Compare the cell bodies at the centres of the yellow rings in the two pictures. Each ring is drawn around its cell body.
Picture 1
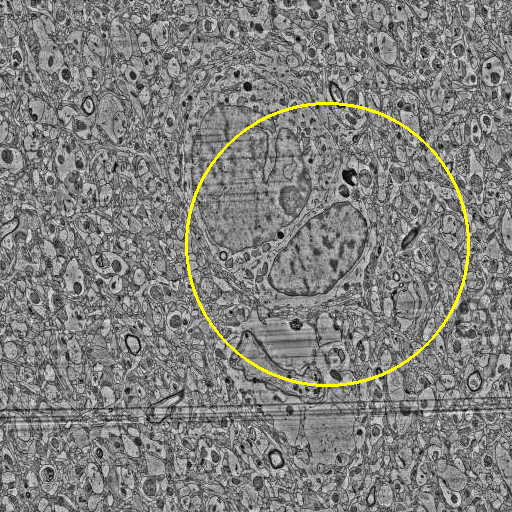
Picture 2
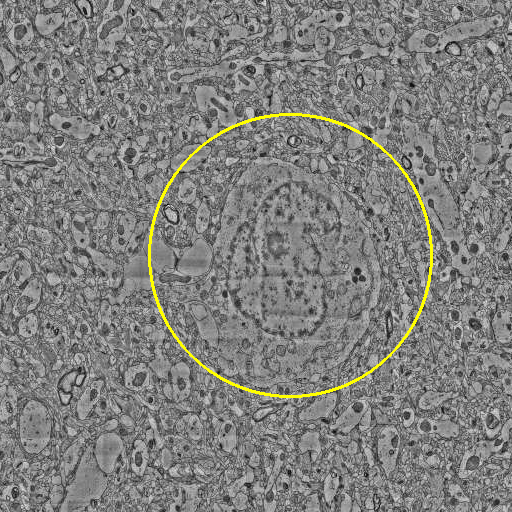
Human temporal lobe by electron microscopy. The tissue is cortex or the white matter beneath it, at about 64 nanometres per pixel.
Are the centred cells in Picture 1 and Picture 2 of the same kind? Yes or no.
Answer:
no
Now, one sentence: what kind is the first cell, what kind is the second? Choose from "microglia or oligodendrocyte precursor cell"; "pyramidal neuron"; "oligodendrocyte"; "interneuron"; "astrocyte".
The first picture has a microglial cell or oligodendrocyte precursor cell at its ring centre, and the second has an interneuron.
